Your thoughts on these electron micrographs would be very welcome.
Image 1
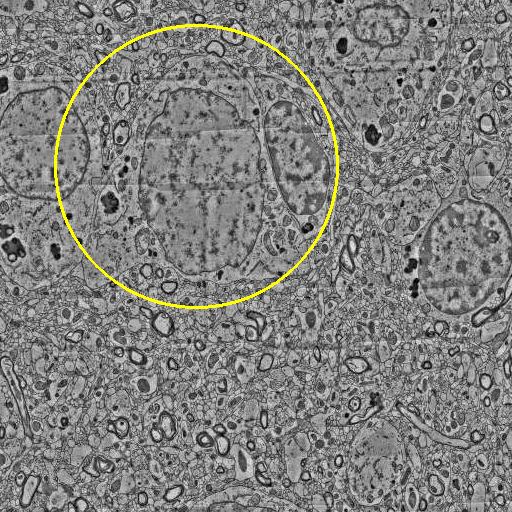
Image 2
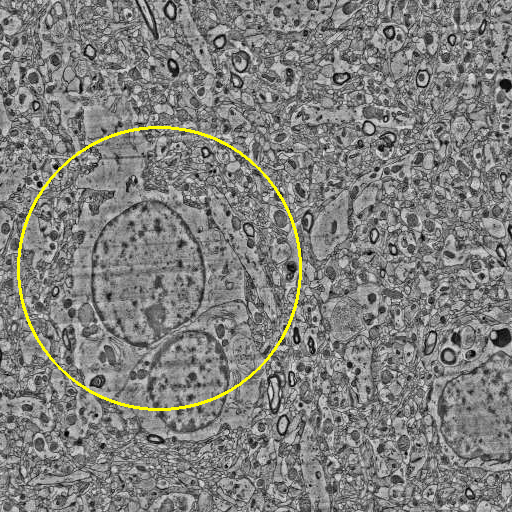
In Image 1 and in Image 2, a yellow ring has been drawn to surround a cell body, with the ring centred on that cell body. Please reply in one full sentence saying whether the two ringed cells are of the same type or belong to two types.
The ringed cells in Image 1 and Image 2 belong to two types.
